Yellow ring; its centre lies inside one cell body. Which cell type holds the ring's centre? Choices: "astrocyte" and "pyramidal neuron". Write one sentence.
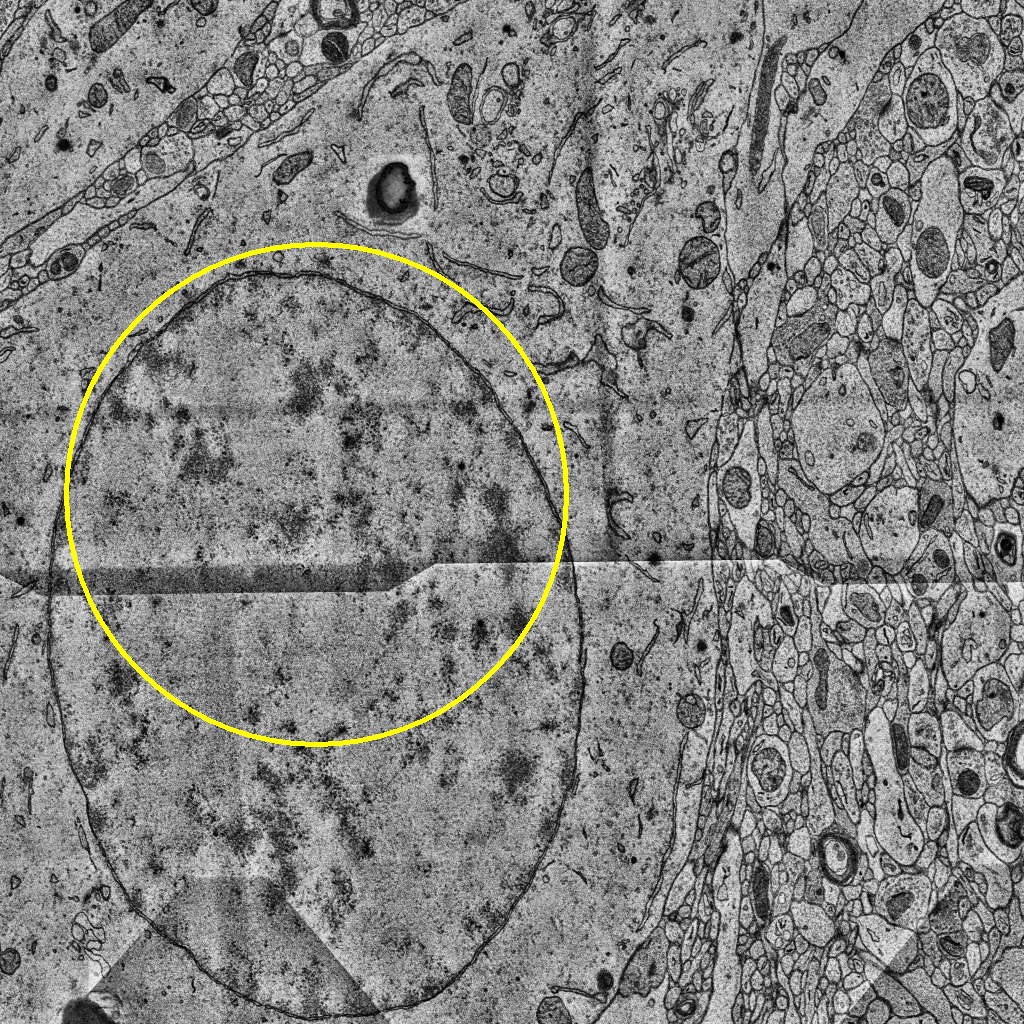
At the centre of the ring sits a pyramidal neuron.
